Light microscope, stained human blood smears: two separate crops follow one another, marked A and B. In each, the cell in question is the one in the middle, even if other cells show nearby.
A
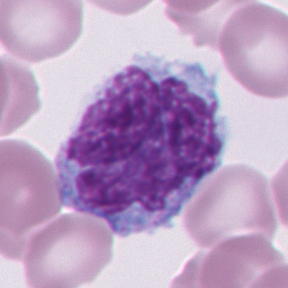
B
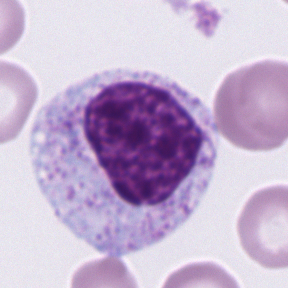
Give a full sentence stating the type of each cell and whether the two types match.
No, crop A captures a monocyte; meanwhile crop B captures a myelocyte.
